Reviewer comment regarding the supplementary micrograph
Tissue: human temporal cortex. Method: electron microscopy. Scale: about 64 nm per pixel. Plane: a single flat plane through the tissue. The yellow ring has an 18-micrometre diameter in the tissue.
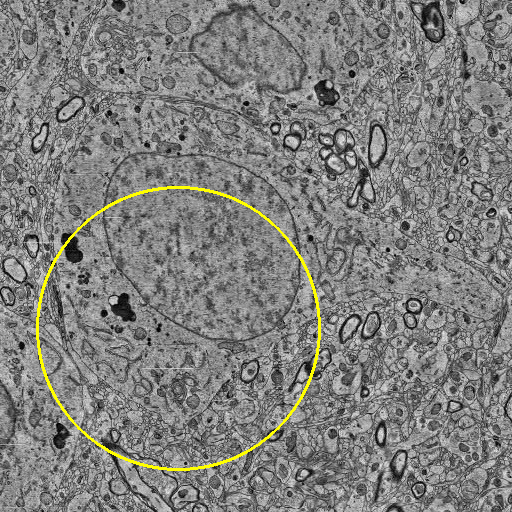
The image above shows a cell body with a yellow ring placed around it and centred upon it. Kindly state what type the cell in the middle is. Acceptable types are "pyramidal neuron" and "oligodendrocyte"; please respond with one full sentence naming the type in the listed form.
In the image above, the cell on which the yellow ring is centred is a pyramidal neuron.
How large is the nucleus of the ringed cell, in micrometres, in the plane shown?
About 15 micrometres by about 11 micrometres in this plane.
